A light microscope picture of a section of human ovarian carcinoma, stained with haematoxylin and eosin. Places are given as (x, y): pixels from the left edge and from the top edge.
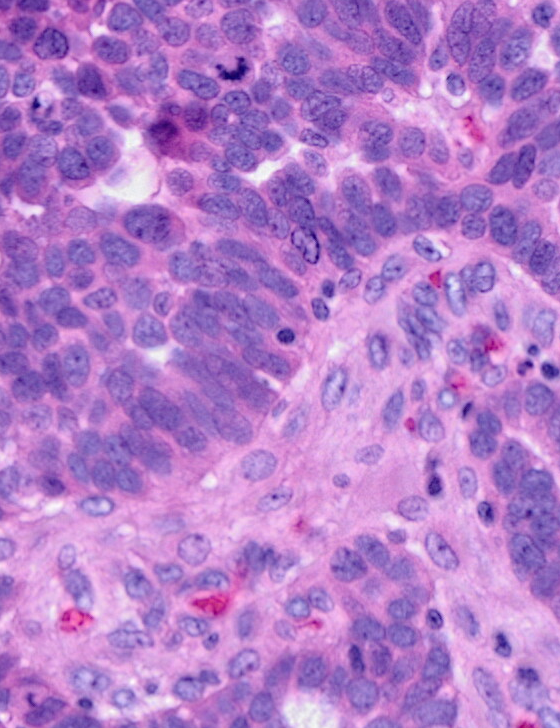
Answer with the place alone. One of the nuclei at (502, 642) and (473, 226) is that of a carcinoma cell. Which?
(473, 226)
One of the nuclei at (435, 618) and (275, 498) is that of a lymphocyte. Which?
(435, 618)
